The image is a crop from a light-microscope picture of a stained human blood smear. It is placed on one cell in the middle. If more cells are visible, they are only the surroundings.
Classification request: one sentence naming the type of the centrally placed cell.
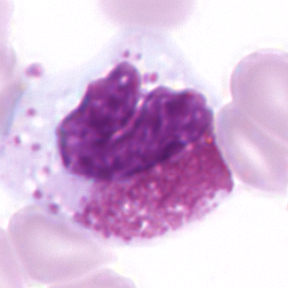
For this crop, the central cell is an eosinophil.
